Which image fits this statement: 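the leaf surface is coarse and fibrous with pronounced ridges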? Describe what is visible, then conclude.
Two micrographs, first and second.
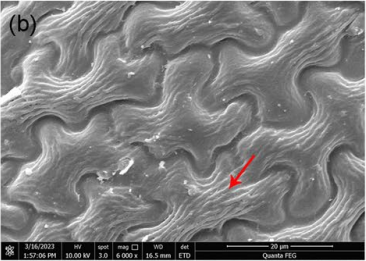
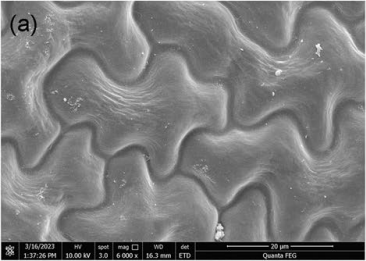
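The first image. First image: dense parallel ridges run across the surface of the lobed cells. Second image: the surface of the lobed cells is even and smooth with only faint ridges.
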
